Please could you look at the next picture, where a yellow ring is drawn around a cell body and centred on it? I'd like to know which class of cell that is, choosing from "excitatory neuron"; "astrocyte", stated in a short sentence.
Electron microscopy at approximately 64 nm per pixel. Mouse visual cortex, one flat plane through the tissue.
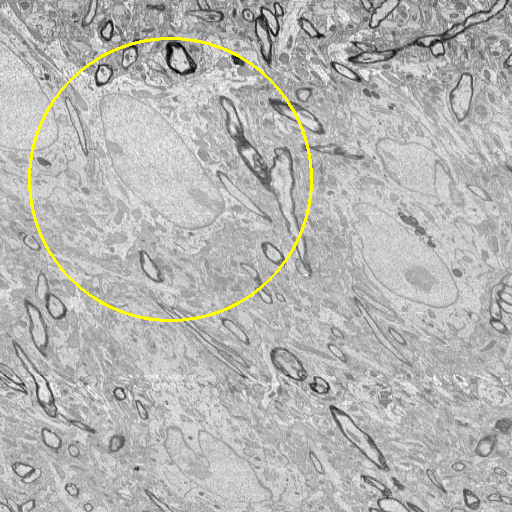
The ring's centre lies on an astrocyte.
